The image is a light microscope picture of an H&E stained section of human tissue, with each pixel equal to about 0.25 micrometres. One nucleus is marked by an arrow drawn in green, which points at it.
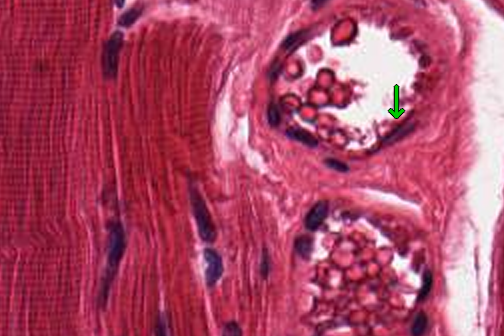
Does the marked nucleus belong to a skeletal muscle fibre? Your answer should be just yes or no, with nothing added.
no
